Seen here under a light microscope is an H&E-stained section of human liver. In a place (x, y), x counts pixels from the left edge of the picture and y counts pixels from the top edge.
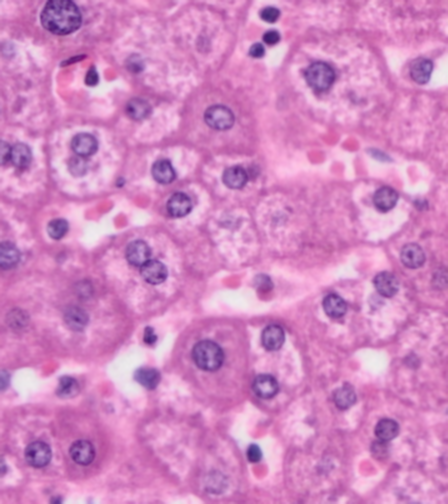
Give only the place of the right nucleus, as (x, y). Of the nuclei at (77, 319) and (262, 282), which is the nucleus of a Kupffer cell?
(262, 282)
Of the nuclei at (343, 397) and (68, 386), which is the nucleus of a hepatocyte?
(343, 397)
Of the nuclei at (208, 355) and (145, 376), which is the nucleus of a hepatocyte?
(208, 355)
